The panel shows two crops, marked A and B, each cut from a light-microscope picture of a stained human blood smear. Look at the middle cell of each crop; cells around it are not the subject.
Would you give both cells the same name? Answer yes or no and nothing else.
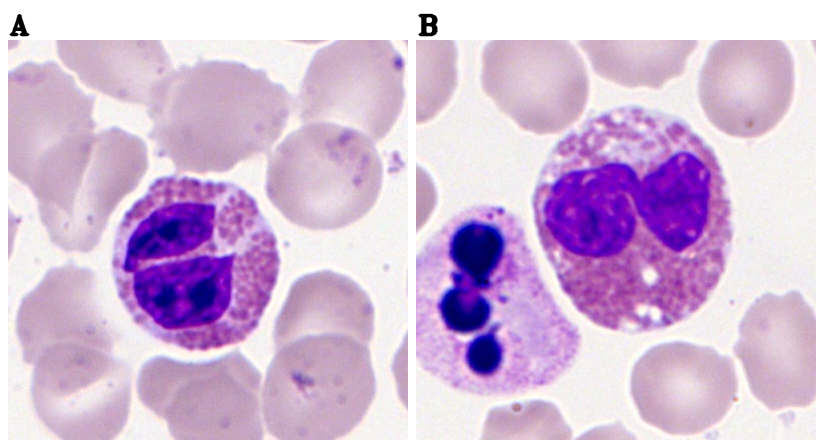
yes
